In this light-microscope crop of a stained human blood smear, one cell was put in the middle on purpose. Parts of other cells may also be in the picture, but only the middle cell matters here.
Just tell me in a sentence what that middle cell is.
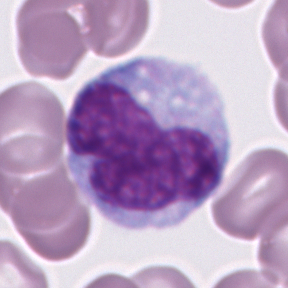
The cell the crop is centered on is a monocyte.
